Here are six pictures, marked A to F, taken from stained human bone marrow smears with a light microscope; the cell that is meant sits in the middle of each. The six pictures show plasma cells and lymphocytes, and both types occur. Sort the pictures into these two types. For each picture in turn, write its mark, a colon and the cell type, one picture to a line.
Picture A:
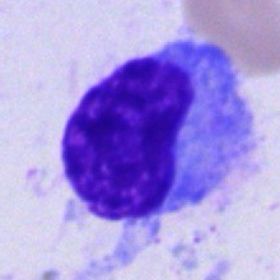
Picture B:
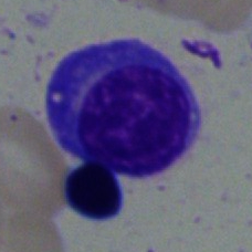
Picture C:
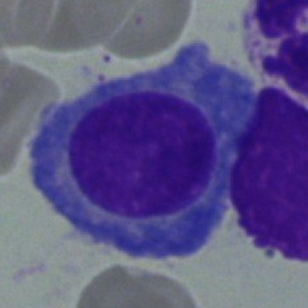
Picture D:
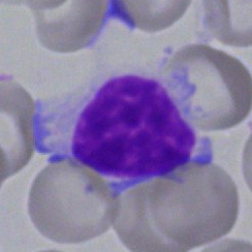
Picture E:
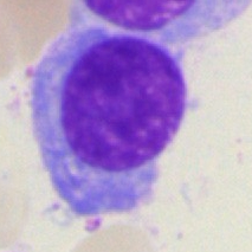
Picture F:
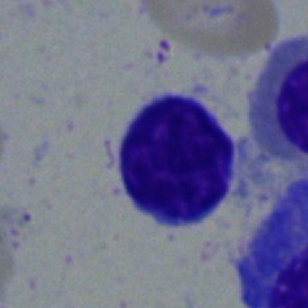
A: plasma cell
B: plasma cell
C: plasma cell
D: lymphocyte
E: plasma cell
F: lymphocyte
